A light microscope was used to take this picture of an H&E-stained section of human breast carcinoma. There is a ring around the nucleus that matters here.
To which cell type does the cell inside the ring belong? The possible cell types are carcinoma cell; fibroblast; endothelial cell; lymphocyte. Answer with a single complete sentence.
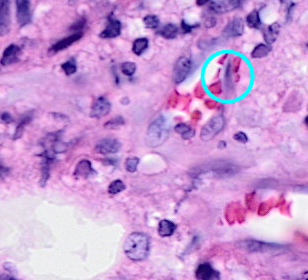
The cell type represented by the cell inside the ring is that of an endothelial cell.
